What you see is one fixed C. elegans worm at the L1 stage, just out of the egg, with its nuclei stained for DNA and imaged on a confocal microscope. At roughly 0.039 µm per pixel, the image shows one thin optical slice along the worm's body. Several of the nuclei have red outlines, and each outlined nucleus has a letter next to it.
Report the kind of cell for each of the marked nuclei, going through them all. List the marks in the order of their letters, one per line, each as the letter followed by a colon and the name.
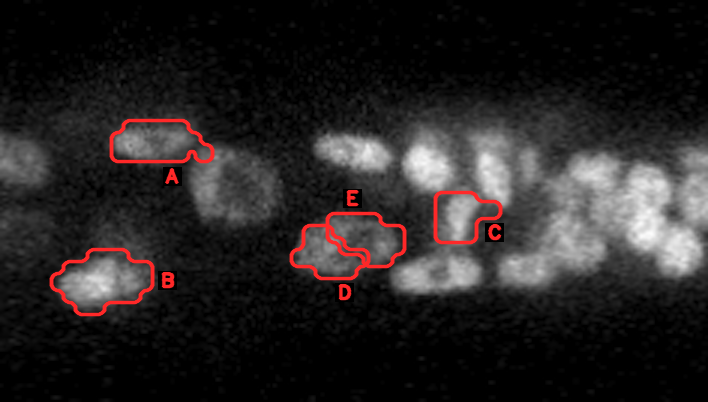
A: body wall muscle cell
B: body wall muscle cell
C: enteric muscle cell
D: body wall muscle cell
E: intestinal cell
